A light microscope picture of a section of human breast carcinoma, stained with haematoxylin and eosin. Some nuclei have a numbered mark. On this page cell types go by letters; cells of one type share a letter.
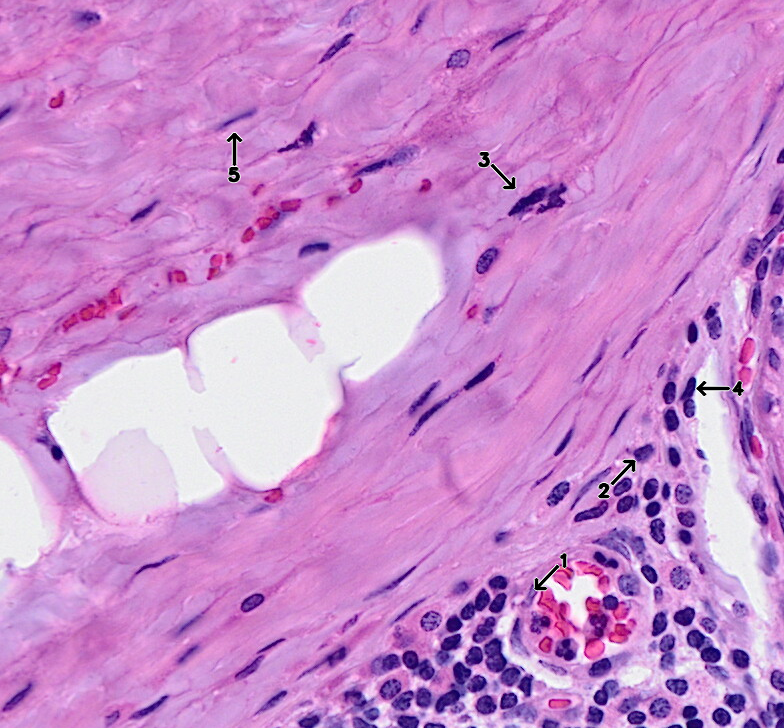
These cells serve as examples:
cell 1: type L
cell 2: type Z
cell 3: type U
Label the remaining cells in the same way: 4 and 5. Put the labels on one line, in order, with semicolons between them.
type Z; type U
